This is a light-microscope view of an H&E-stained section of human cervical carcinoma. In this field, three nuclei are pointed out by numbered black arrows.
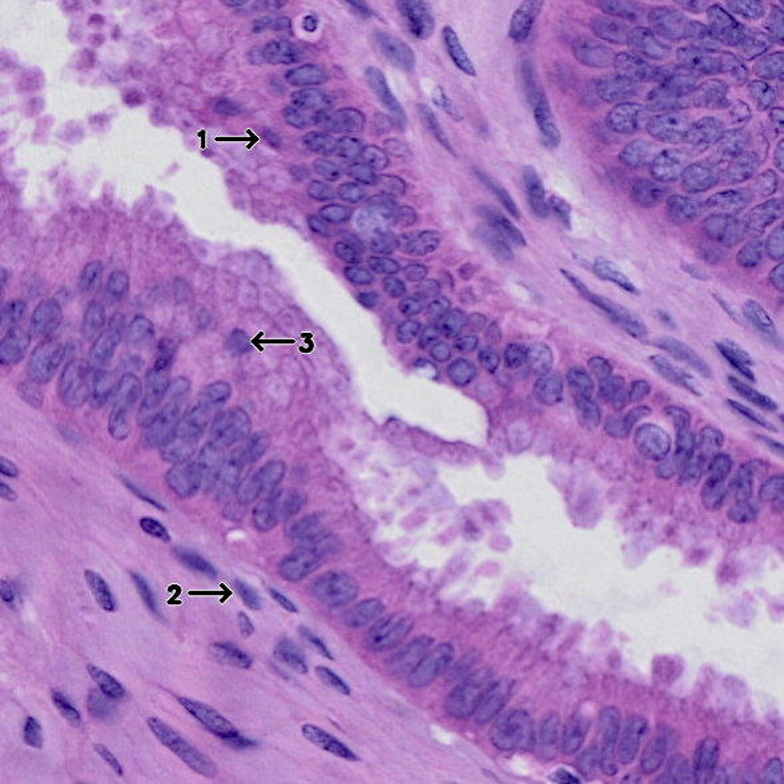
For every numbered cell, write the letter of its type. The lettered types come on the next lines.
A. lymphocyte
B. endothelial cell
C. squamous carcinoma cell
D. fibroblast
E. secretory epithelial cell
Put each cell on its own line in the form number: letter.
1: E
2: D
3: E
